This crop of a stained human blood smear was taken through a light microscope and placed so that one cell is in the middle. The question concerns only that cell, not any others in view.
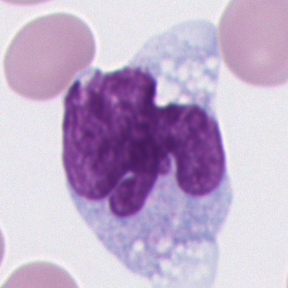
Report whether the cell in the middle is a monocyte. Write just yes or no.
yes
